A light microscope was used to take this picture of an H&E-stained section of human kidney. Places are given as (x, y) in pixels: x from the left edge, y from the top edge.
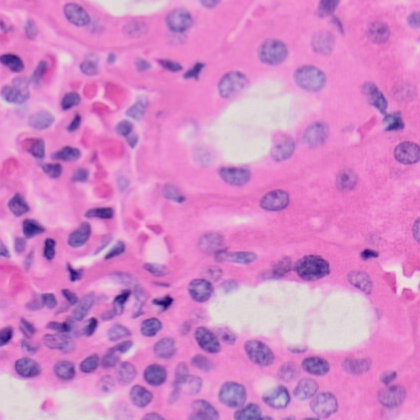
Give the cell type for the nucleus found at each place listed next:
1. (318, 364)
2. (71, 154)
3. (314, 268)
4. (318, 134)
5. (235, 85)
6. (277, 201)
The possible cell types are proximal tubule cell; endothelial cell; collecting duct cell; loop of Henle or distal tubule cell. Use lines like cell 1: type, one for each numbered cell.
cell 1: loop of Henle or distal tubule cell
cell 2: endothelial cell
cell 3: loop of Henle or distal tubule cell
cell 4: loop of Henle or distal tubule cell
cell 5: loop of Henle or distal tubule cell
cell 6: proximal tubule cell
